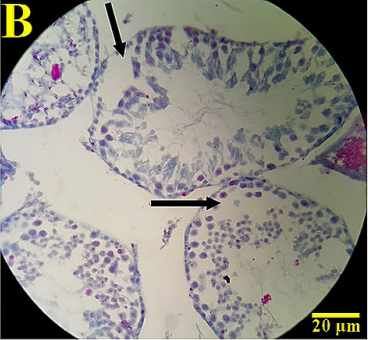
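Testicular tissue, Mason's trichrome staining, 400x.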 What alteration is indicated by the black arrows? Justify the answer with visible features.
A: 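The arrows point at the tubule wall where the epithelium is thin and loosely arranged. Clear gaps lie between the remaining germ cells.
Answer: empty spots inside the tubules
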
